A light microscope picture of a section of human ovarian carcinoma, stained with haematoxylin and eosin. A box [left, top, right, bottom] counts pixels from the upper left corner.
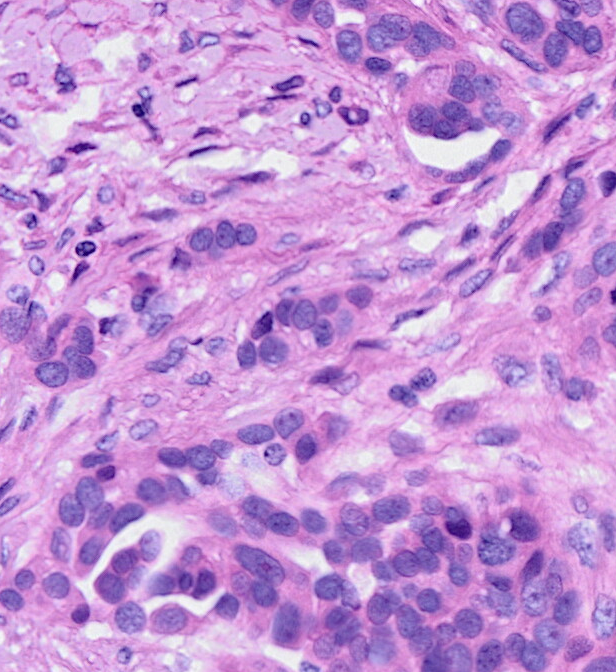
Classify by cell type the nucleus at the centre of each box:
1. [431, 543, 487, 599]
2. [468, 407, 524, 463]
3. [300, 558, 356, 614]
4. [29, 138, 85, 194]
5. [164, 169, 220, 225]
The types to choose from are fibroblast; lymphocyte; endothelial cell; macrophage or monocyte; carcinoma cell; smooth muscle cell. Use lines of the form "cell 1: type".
cell 1: carcinoma cell
cell 2: fibroblast
cell 3: carcinoma cell
cell 4: fibroblast
cell 5: fibroblast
